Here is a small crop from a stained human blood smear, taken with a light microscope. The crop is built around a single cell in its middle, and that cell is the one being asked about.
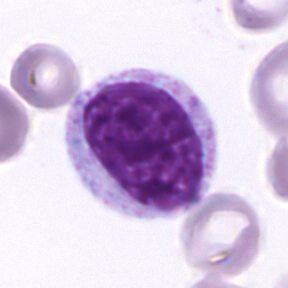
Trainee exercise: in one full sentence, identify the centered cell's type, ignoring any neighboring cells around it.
Among the cells in view, the one in the middle is a metamyelocyte.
